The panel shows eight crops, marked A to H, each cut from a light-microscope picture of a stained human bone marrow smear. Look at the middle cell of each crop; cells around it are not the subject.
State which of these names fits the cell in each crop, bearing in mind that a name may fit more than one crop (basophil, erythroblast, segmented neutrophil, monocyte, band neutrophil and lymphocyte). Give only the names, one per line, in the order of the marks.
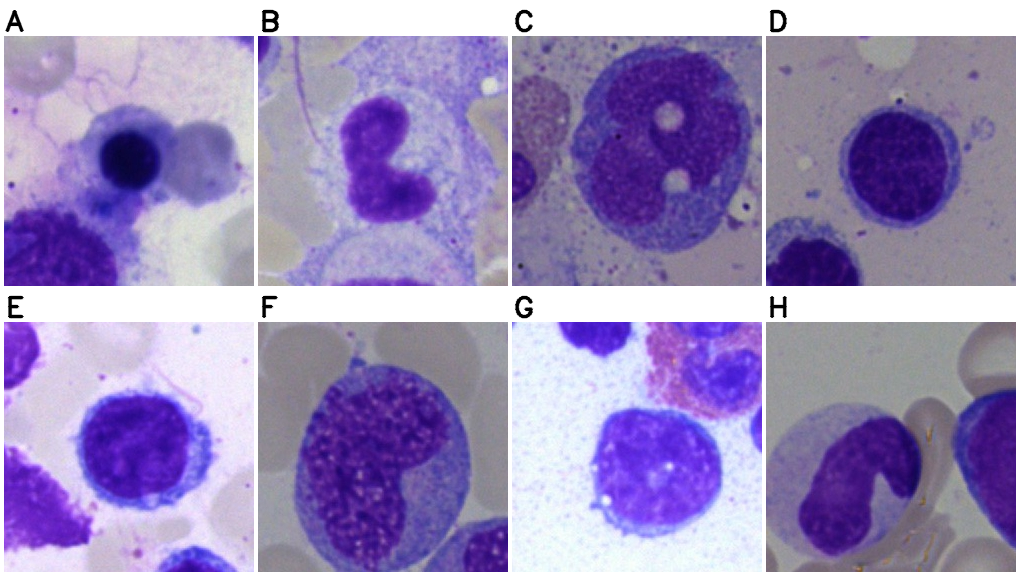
erythroblast
band neutrophil
monocyte
lymphocyte
lymphocyte
monocyte
lymphocyte
band neutrophil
